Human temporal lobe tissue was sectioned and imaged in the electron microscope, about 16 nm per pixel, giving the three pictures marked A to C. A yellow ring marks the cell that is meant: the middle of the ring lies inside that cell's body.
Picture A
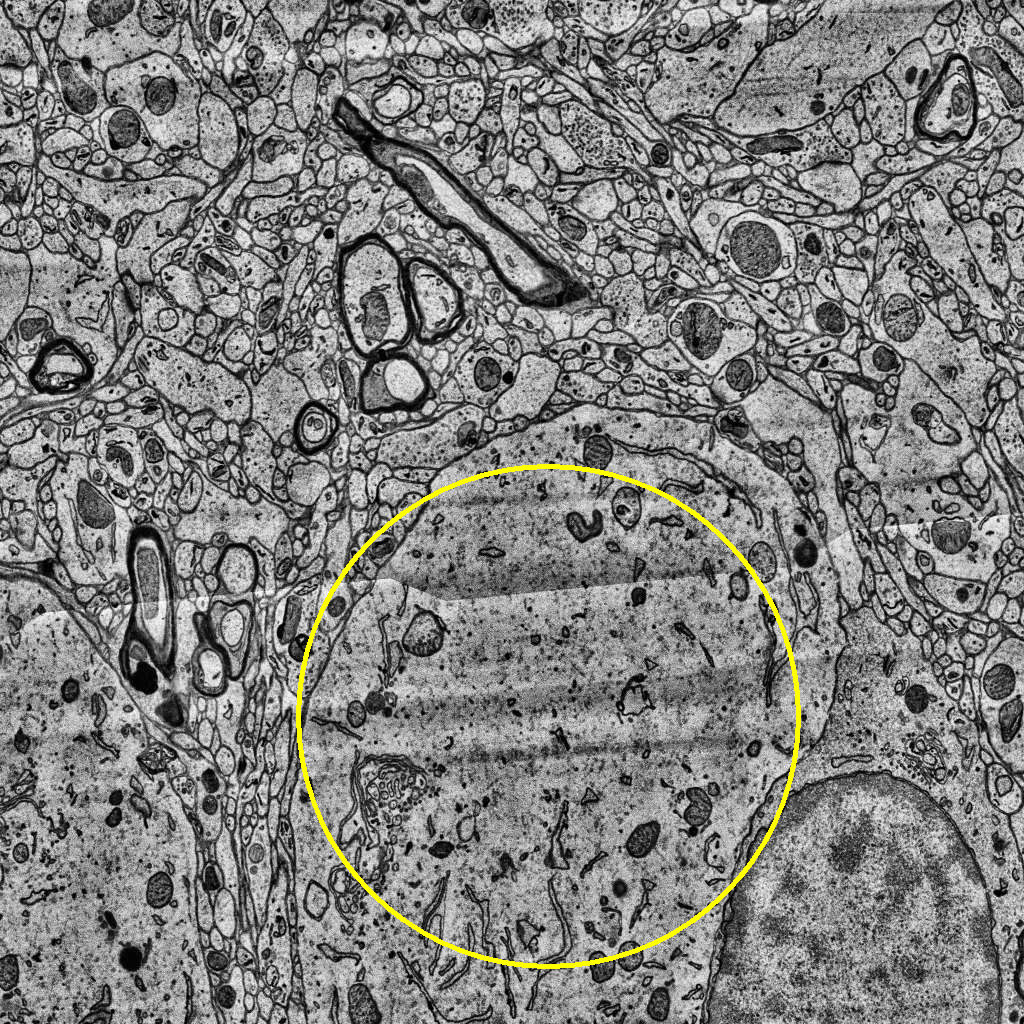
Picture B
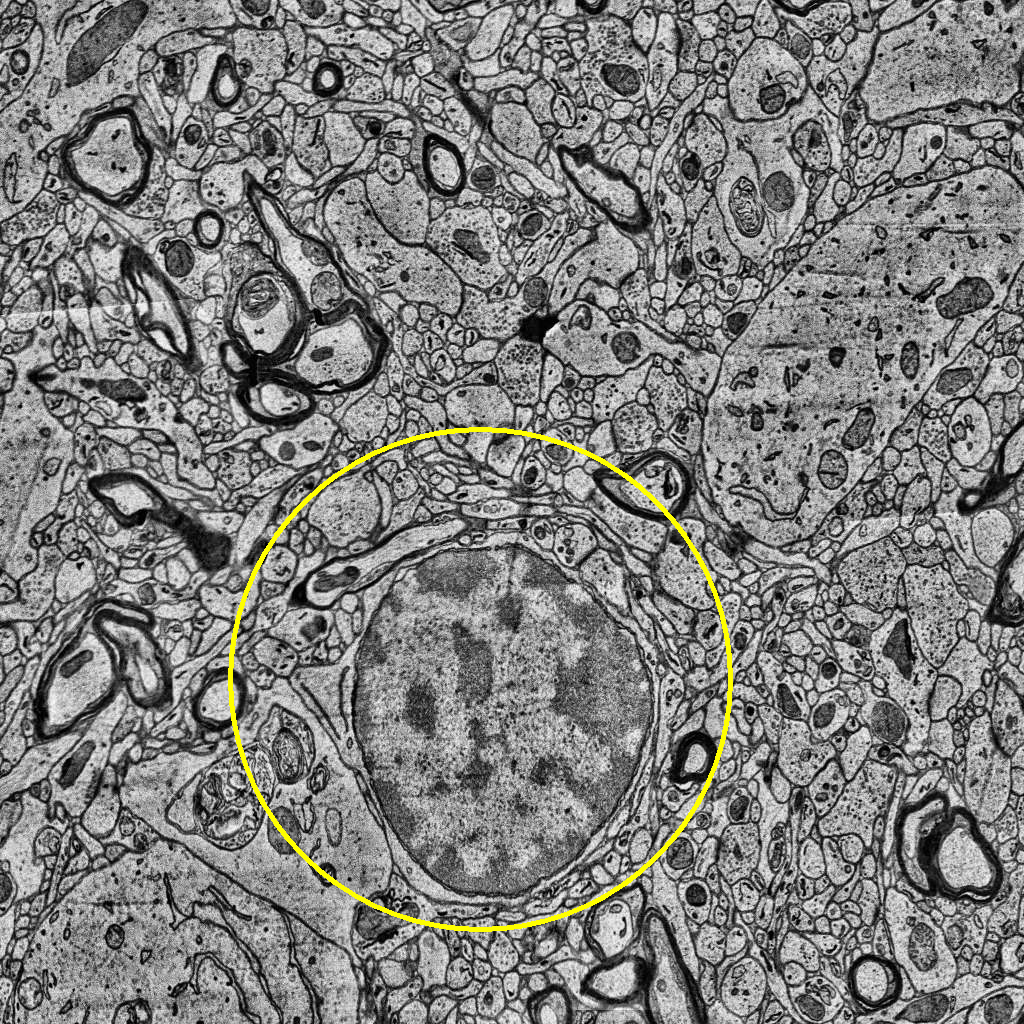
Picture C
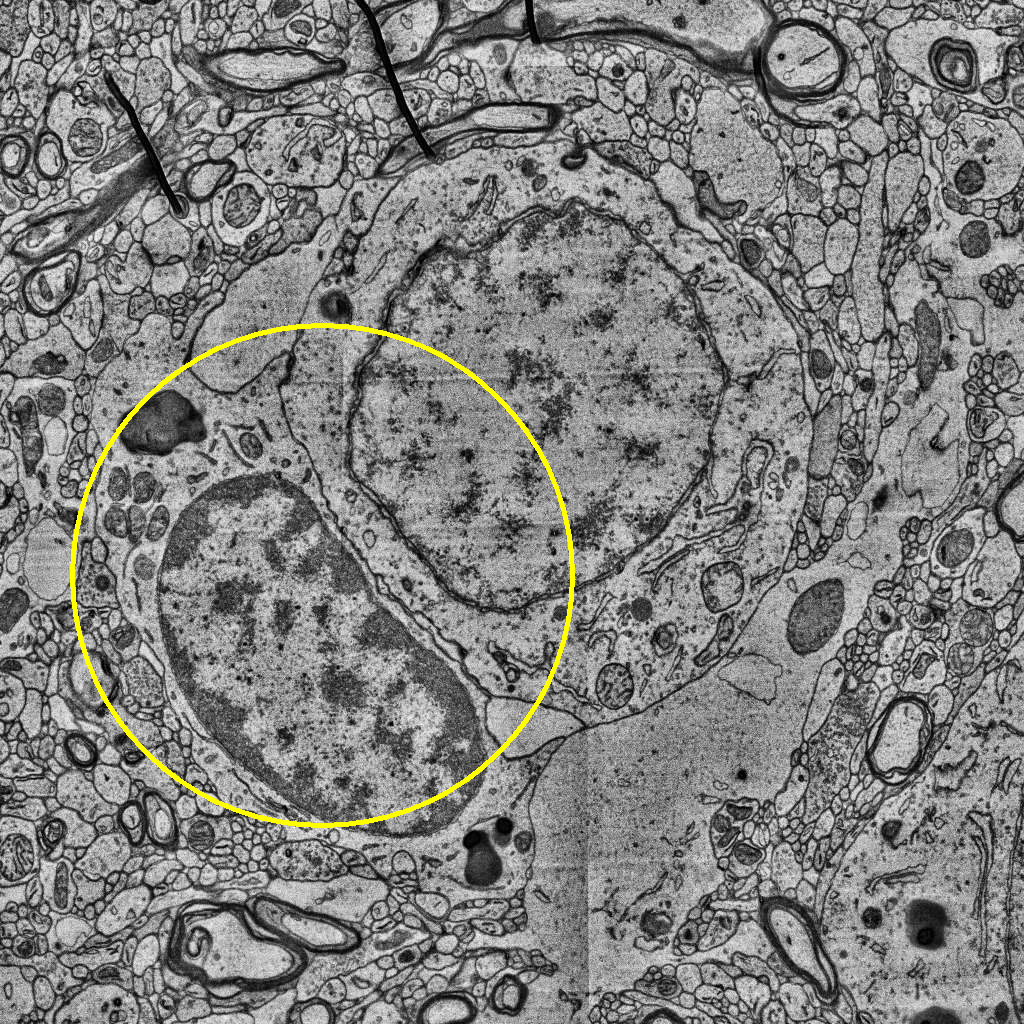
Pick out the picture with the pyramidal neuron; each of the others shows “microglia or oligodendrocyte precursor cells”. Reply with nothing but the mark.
A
